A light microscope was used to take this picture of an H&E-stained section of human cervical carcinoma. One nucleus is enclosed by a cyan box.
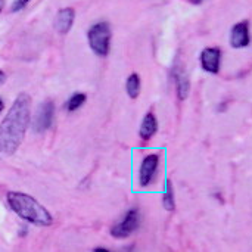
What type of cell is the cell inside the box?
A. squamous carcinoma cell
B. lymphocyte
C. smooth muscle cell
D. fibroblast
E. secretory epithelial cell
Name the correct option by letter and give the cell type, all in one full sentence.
Of the options given, D is right: the cell inside the box is a fibroblast.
